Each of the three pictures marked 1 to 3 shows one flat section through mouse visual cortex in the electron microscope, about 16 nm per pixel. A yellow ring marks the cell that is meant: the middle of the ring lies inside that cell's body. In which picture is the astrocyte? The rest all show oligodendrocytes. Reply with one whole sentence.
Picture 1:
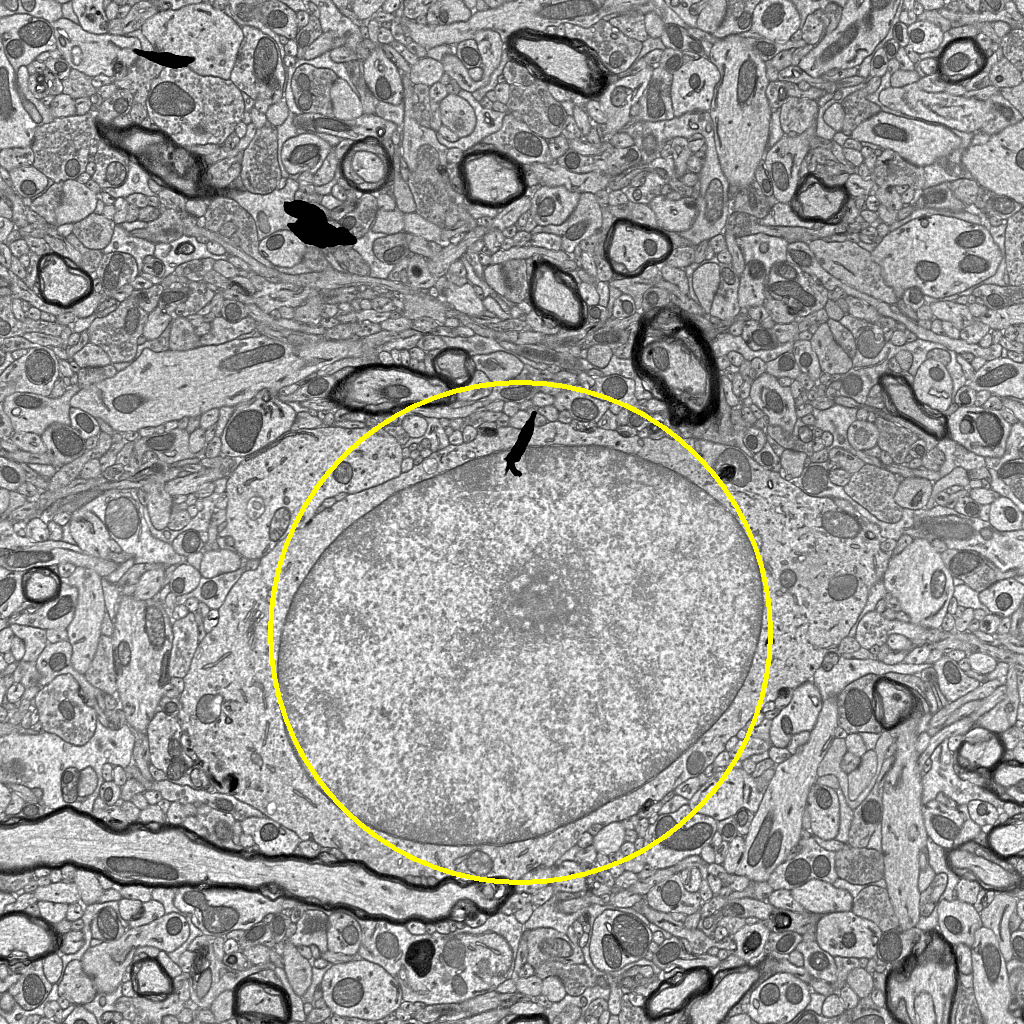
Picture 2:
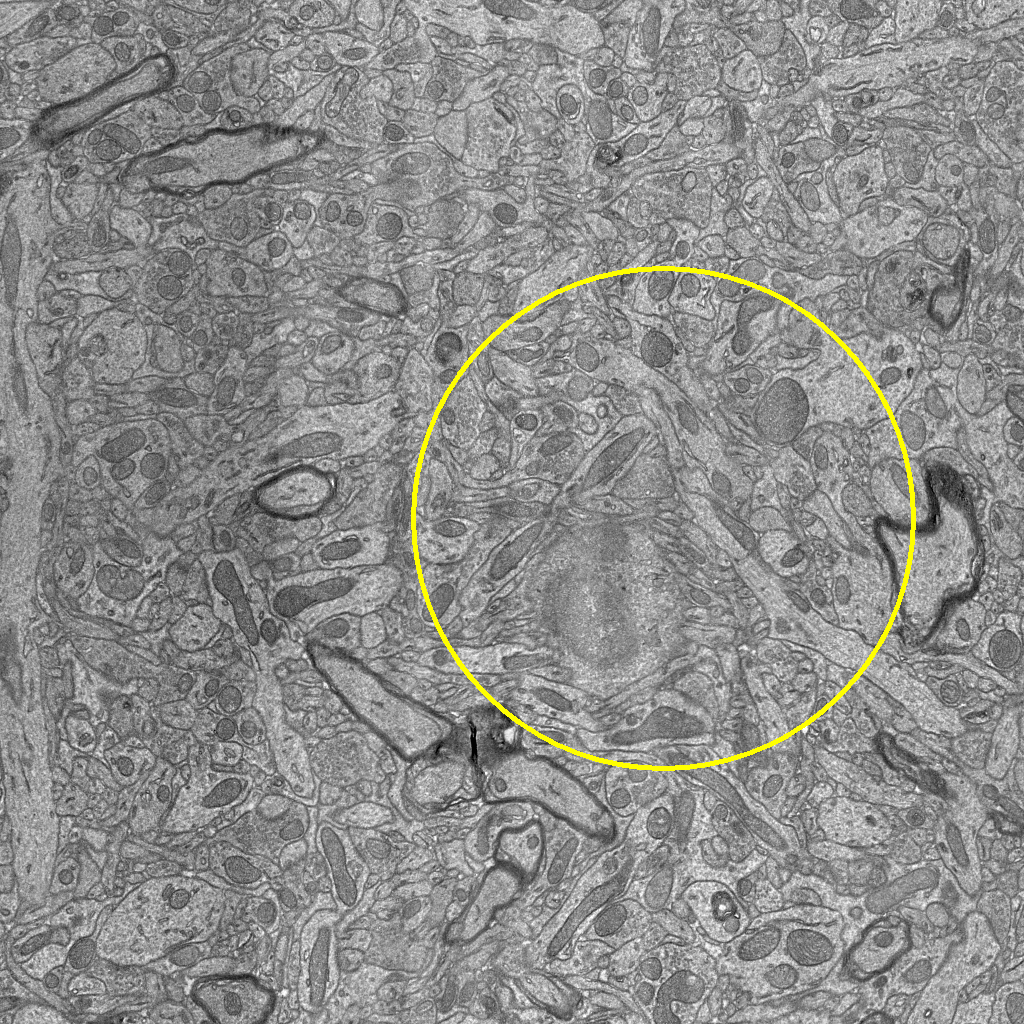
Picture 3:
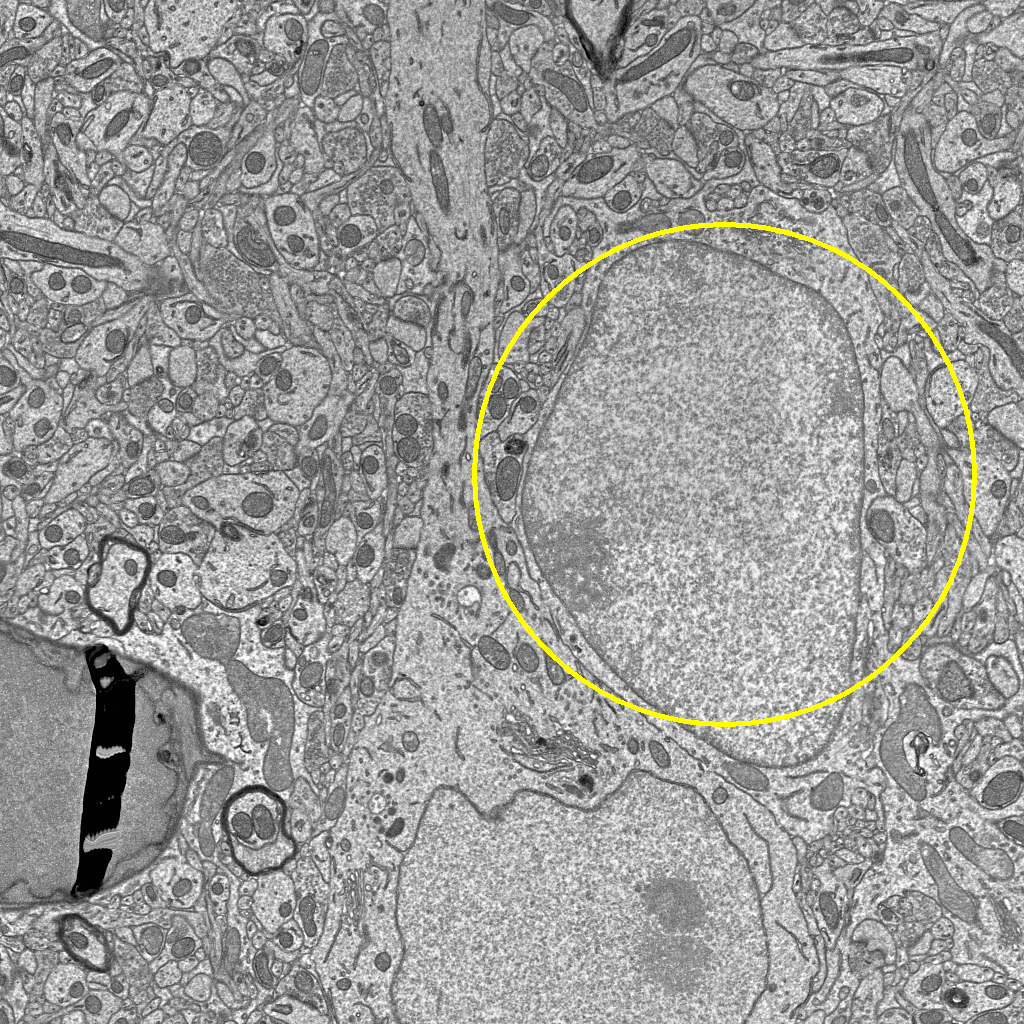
Picture 3 is the one that shows the astrocyte.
